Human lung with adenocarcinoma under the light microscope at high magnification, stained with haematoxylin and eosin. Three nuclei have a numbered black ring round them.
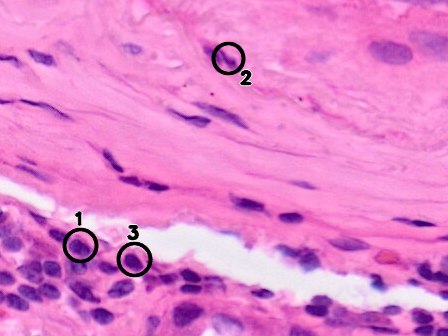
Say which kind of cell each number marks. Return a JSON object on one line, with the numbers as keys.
{"1": "lymphocyte", "2": "smooth muscle cell or pericyte", "3": "lymphocyte"}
